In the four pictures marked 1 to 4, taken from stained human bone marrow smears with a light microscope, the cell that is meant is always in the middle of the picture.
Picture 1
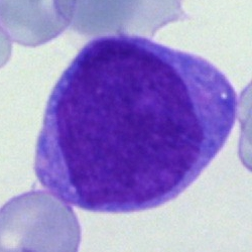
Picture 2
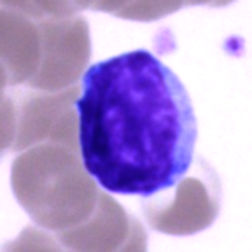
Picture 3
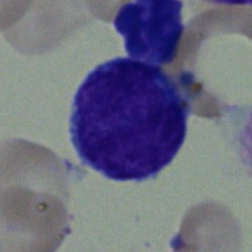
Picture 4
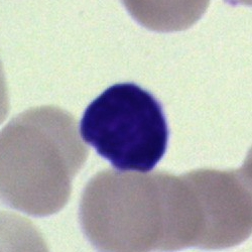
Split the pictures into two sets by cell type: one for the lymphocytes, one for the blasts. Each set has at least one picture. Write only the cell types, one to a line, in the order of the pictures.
blast
lymphocyte
lymphocyte
lymphocyte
